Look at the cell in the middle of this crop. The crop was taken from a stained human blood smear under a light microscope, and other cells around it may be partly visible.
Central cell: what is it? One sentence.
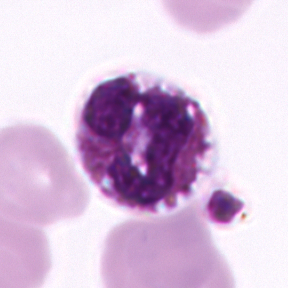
The cell in the middle of this crop is an eosinophil.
